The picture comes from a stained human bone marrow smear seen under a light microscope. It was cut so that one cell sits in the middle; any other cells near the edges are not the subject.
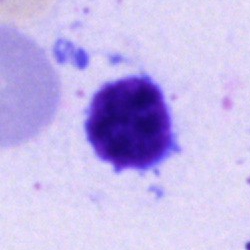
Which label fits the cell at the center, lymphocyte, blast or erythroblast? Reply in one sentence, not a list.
For this crop, the cell in the middle is a lymphocyte.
